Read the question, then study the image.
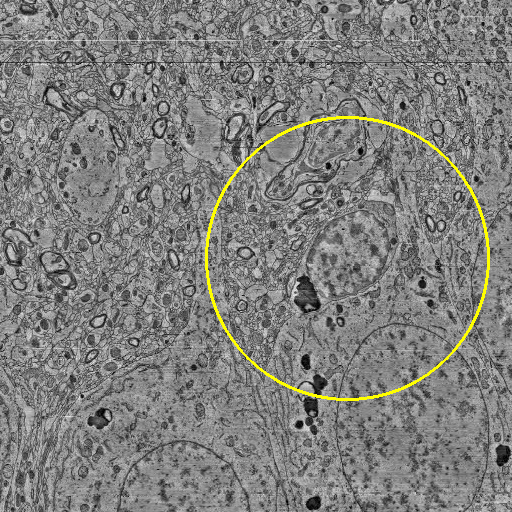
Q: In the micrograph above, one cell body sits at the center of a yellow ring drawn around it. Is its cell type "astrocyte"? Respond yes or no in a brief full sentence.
No, its cell type is another one.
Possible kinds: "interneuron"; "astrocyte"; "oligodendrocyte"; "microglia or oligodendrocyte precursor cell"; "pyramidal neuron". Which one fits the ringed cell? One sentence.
The cell shown in the ring is an oligodendrocyte.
